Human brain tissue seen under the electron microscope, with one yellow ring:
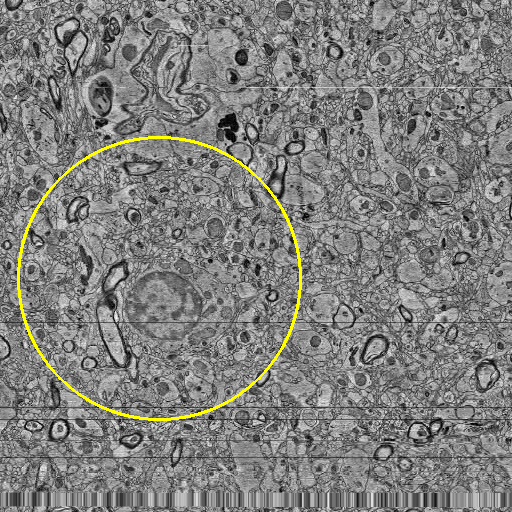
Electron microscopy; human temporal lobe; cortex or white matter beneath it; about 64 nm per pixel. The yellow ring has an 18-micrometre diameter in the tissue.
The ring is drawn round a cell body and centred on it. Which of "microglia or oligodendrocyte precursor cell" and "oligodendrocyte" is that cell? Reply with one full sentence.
The picture shows an oligodendrocyte at the very centre of the yellow ring.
